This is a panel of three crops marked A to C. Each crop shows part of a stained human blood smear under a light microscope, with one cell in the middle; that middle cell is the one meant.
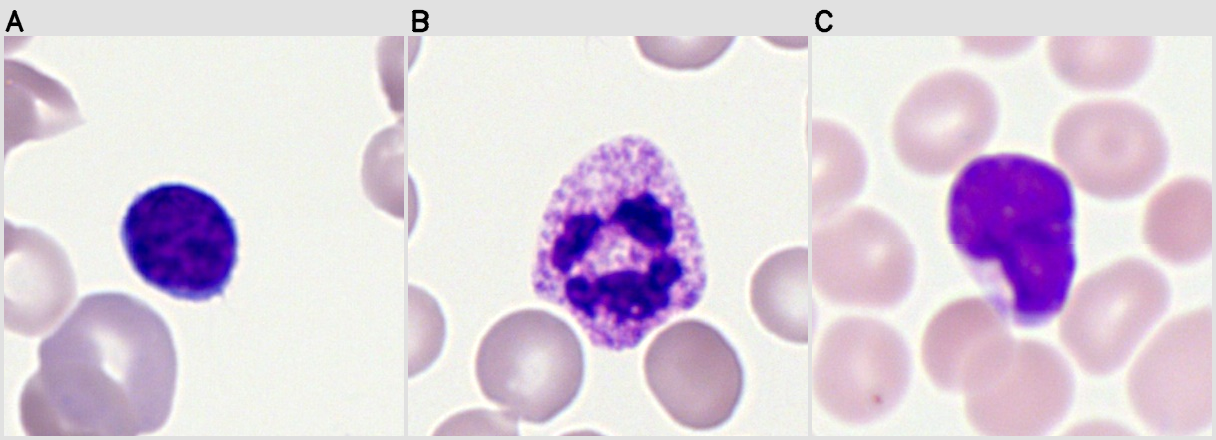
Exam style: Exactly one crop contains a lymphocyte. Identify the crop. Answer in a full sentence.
Crop A is the one in the set with a lymphocyte at the center.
